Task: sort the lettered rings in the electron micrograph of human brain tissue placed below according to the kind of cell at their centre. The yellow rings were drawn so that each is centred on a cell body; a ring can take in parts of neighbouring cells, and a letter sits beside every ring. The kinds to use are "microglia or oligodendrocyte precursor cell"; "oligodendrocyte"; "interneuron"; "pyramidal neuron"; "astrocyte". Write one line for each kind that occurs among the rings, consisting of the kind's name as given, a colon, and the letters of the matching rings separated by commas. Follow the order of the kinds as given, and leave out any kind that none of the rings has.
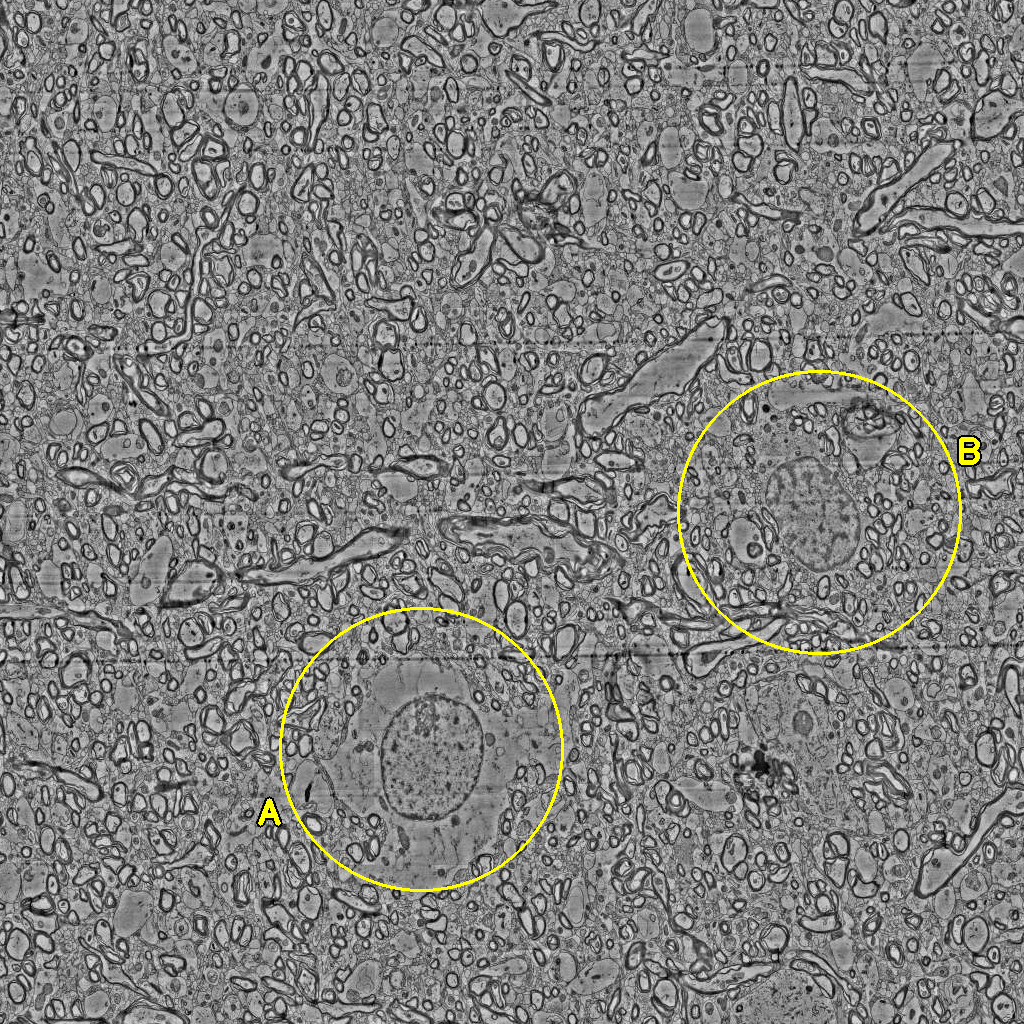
oligodendrocyte: B
astrocyte: A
